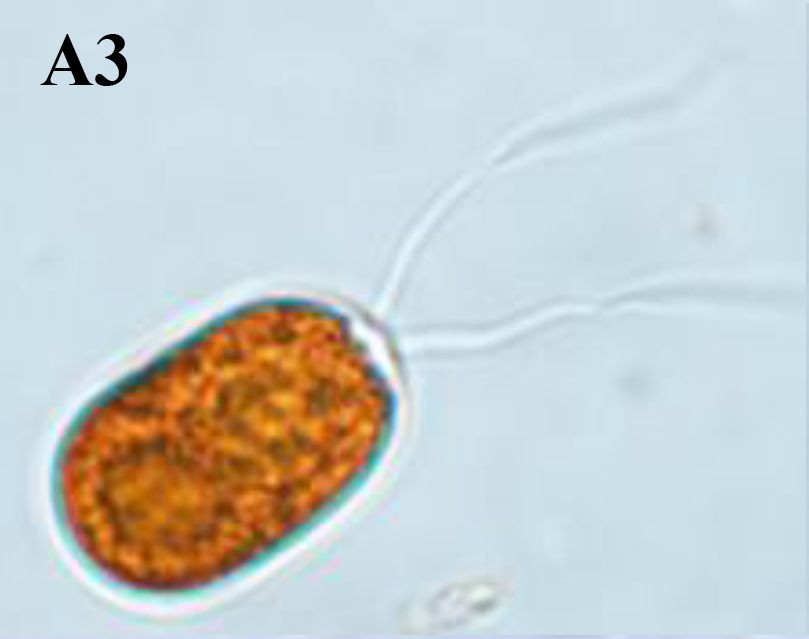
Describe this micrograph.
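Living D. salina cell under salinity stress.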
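The cell has a thin clear outline, and the pigment is distributed throughout its body with slightly mottled texture. Long thin flagella arise from one pole of the cell.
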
